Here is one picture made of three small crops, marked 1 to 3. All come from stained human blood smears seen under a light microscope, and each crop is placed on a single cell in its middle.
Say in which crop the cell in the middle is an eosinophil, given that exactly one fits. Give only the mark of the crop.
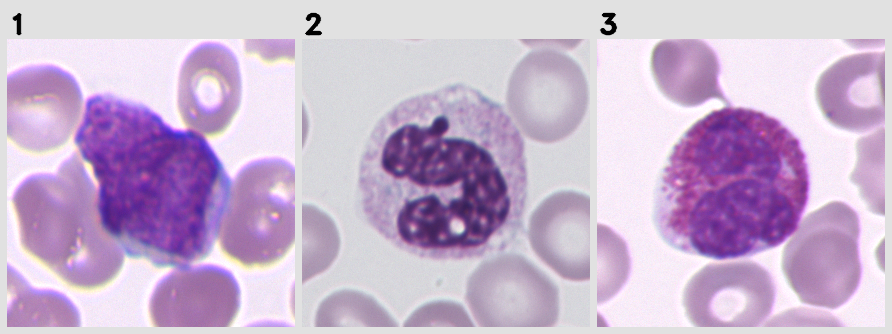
3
